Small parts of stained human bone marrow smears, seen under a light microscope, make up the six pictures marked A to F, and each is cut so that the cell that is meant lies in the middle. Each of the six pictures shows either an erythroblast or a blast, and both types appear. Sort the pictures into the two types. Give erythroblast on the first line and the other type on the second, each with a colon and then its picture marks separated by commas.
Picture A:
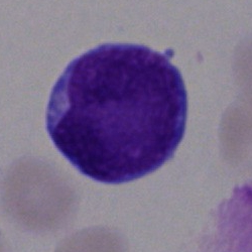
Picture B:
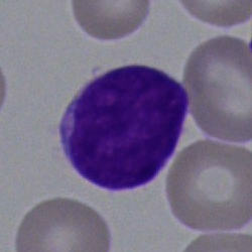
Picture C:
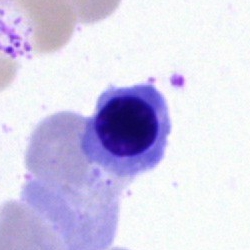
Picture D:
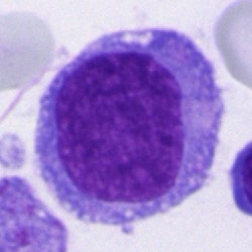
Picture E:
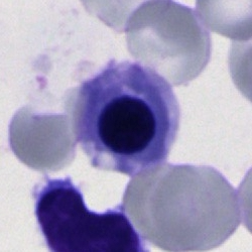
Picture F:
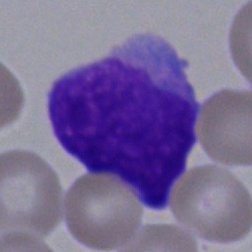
erythroblast: C, E
blast: A, B, D, F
